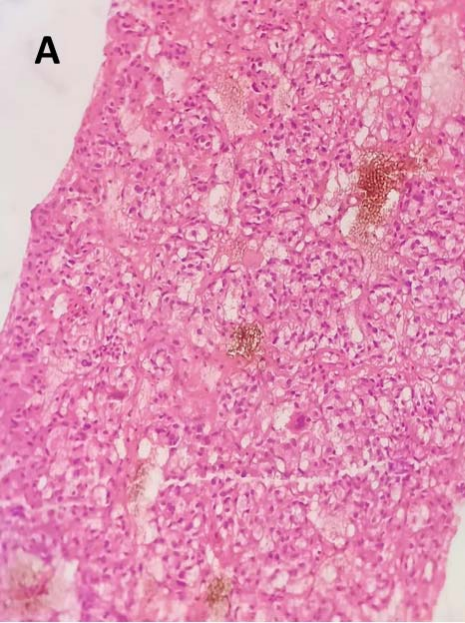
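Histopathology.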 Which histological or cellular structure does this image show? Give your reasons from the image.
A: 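Nests, packets, and sheets. Cells are grouped into rounded clusters separated by thin pale septa. In places the clusters merge into solid sheets.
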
